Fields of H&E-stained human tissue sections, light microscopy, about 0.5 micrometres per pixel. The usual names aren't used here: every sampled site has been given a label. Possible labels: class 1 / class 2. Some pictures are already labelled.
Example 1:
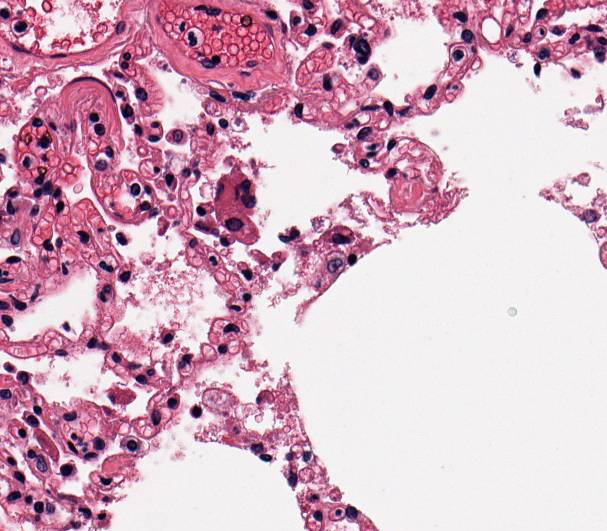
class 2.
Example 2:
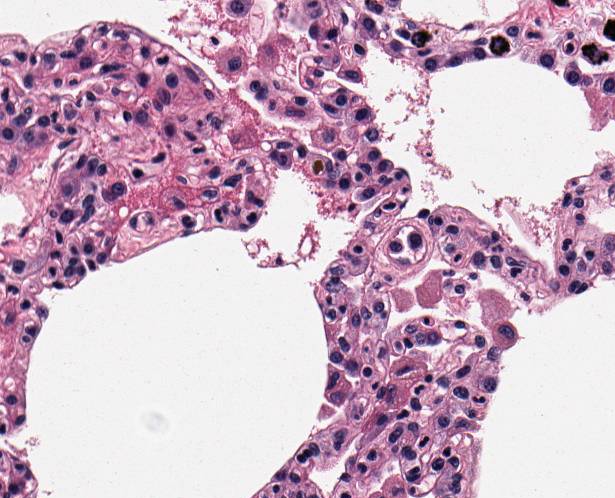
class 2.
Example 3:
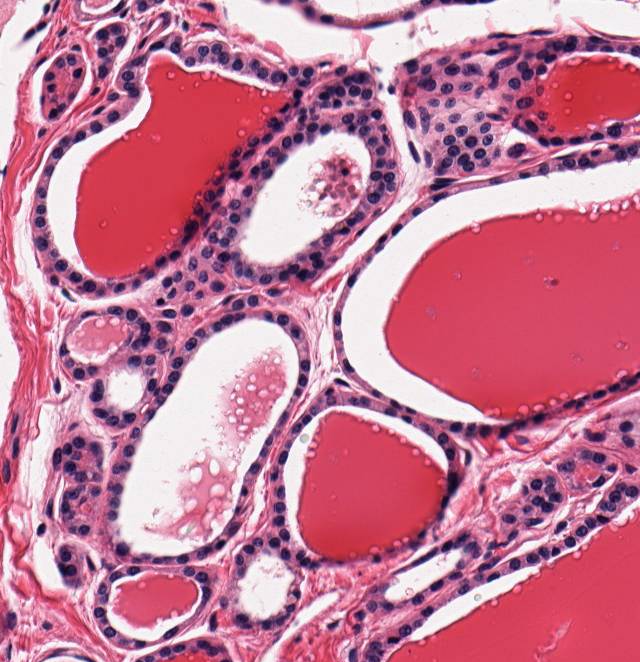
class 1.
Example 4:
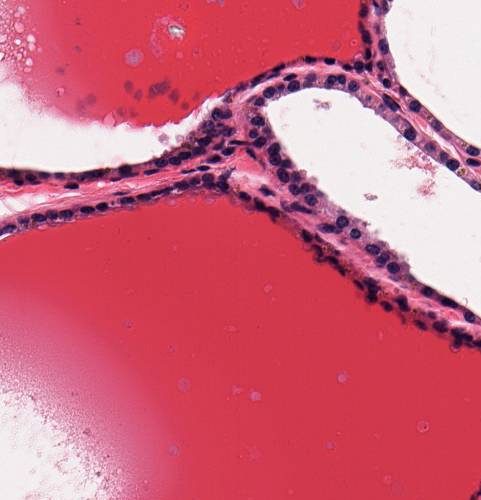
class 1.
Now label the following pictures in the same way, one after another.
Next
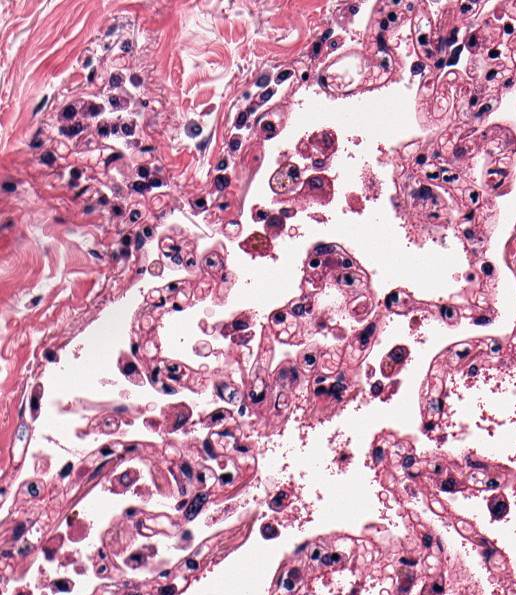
class 2.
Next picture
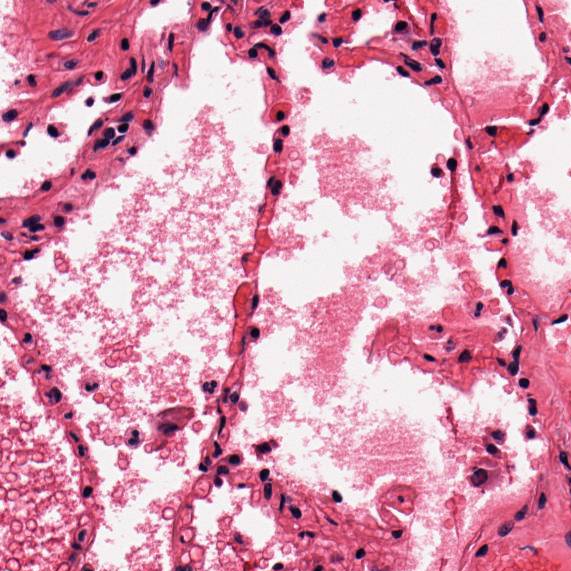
class 2.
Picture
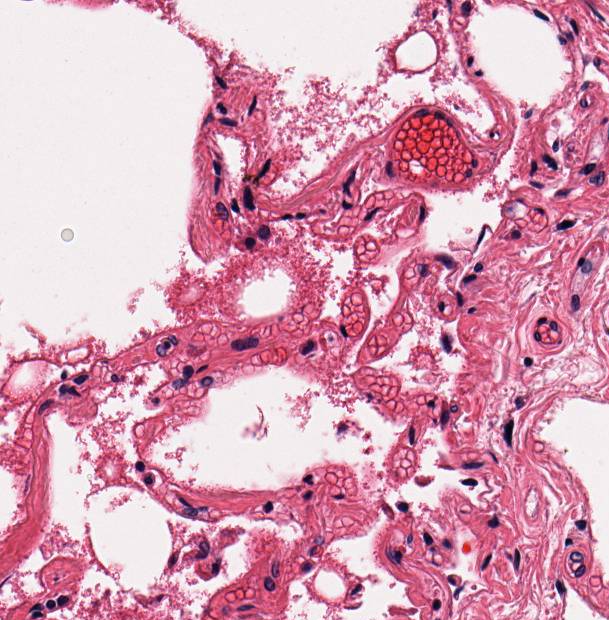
class 2.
